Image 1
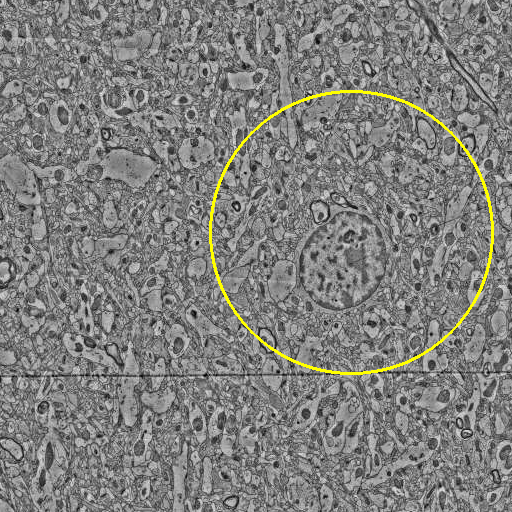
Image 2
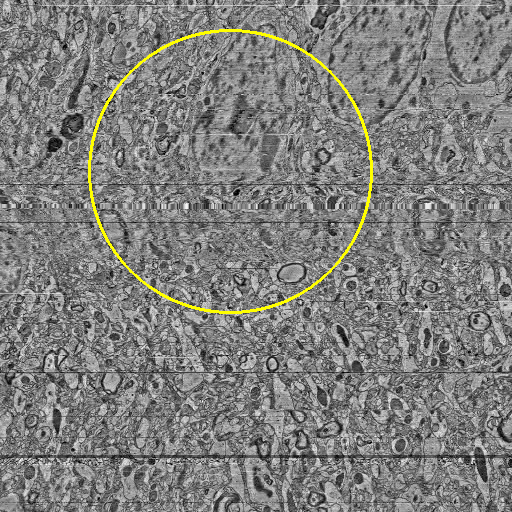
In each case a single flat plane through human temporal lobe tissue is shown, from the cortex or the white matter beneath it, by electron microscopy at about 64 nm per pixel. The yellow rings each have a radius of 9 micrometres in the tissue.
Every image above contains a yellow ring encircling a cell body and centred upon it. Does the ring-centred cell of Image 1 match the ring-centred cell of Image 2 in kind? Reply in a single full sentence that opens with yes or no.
No, the cell at the ring's centre in Image 1 is a separate kind from that in Image 2.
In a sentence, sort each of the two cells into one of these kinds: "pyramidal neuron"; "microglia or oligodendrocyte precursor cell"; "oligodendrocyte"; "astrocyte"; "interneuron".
The first of the two cells is an oligodendrocyte, and the second is an interneuron.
